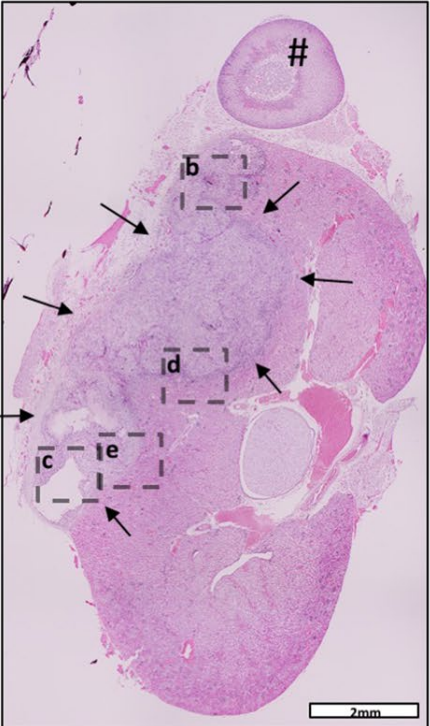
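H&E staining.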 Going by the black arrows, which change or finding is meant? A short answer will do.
Tumor.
